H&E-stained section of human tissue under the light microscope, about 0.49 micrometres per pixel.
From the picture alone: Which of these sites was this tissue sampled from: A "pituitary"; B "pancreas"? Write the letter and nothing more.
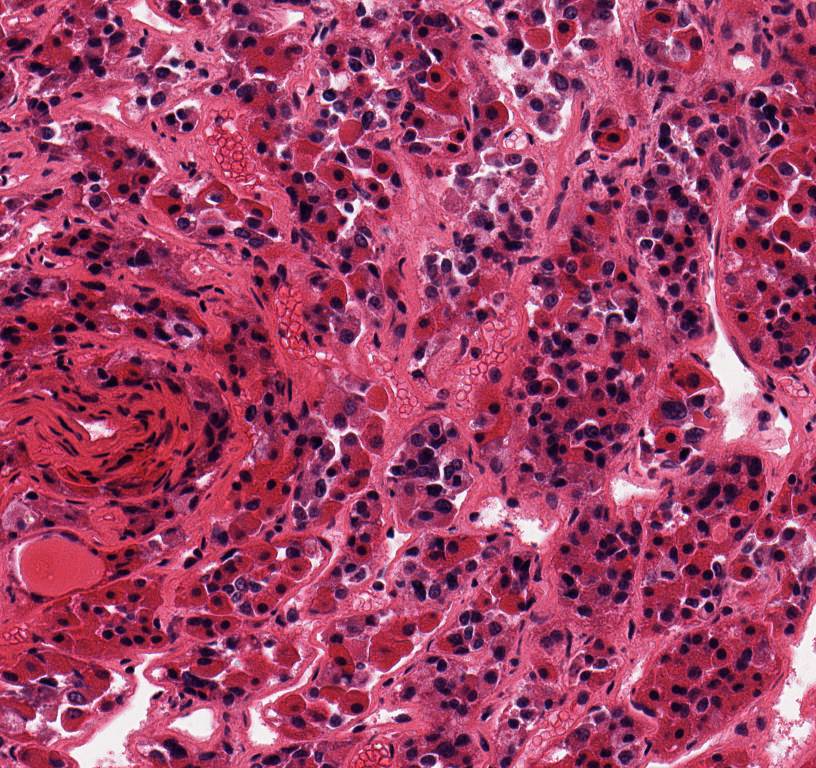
A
